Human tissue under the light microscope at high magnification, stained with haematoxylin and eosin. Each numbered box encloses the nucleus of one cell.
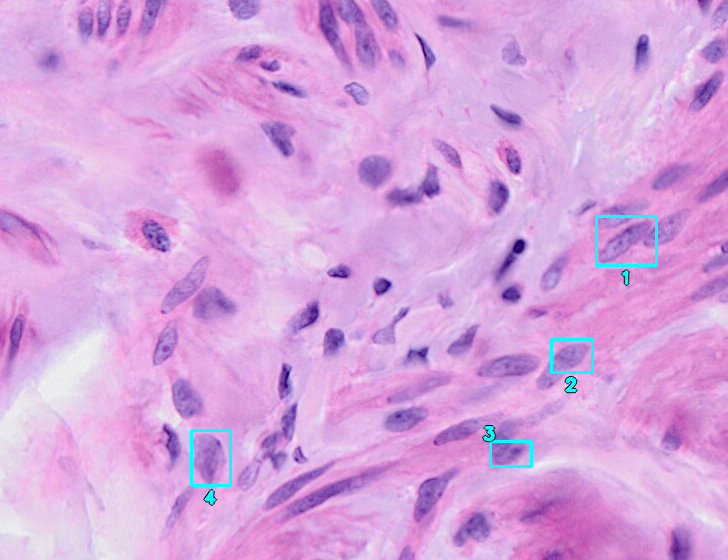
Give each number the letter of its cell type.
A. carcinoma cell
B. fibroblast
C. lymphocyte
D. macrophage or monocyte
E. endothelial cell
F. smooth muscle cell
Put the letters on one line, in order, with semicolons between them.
F; F; F; B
